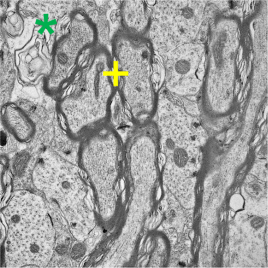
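This electron micrograph shows myelinated axons cut in cross and oblique section within neuropil. Most axons are surrounded by a thick, dark ring of myelin around pale axoplasm with scattered organelles. In places the sheath is thickened, folded or split, with lamellae pulled apart. At the upper left a profile shows loose, swirled membranes with pale spaces instead of a compact sheath. Smaller unmyelinated profiles and mitochondria fill the spaces between the axons.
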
